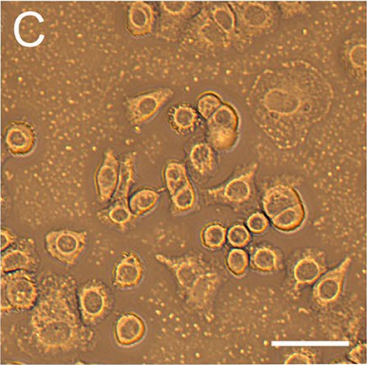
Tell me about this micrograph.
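A sparse culture of cells seen in transmitted light, lying as scattered small groups with wide empty spaces between them. Many cells are rounded with bright, thick outlines and a central nucleus, while others are irregular and deformed, and a few flattened, pale, degraded remnants are present.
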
